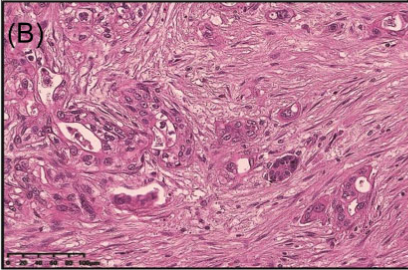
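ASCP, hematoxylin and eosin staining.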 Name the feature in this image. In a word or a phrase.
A: Incomplete or complex glands.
